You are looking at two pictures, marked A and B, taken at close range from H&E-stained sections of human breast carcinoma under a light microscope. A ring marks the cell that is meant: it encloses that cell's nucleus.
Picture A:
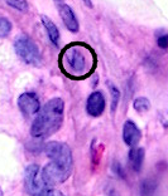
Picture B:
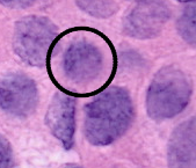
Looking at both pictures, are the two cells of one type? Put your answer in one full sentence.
No, the types are not the same, since picture A shows an endothelial cell and picture B a carcinoma cell.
